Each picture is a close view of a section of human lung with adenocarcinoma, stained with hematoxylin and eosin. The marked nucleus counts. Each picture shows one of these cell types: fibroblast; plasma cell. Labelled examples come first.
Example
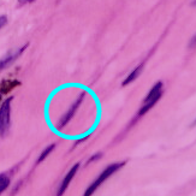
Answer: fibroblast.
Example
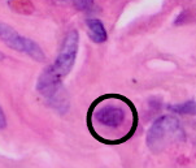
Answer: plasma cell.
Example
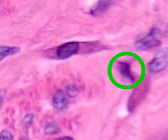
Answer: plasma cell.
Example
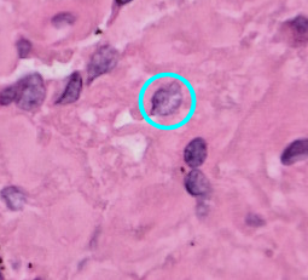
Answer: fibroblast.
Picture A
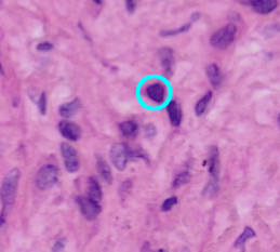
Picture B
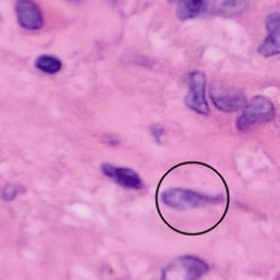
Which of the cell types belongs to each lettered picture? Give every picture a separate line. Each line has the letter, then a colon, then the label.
A: plasma cell.
B: fibroblast.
